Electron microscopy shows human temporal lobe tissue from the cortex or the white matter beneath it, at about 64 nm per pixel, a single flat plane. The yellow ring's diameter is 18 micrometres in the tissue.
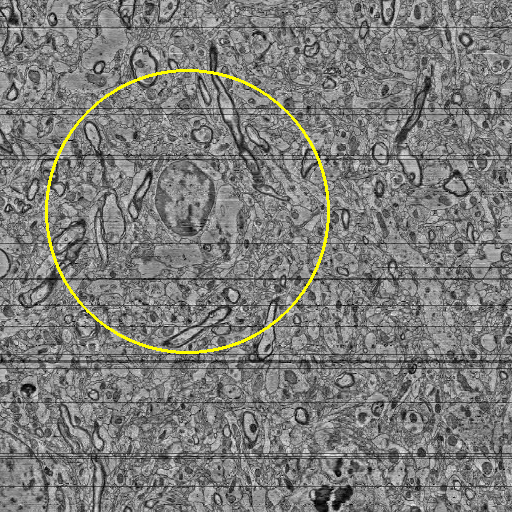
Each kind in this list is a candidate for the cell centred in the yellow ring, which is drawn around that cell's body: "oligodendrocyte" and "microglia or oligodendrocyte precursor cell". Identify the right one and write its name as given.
microglia or oligodendrocyte precursor cell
